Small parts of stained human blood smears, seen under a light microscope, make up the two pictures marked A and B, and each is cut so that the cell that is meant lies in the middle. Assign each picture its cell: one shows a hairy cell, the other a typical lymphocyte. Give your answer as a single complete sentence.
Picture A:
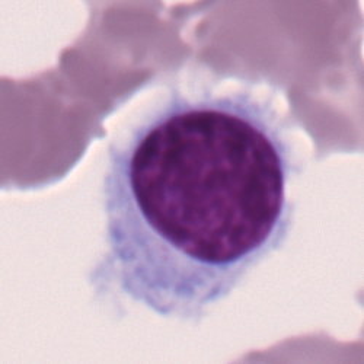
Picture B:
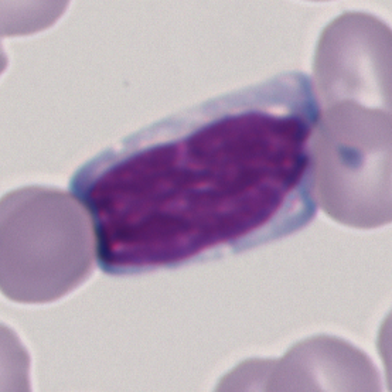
In picture A the cell is a hairy cell; in picture B, a typical lymphocyte.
